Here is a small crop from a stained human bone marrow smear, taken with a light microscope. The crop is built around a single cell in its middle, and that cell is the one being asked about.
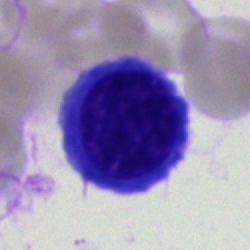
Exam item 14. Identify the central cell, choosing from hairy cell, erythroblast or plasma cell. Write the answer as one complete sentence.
The cell at the central position in this crop is an erythroblast.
